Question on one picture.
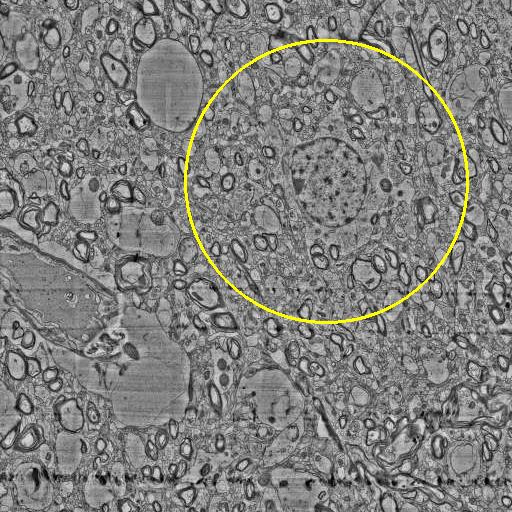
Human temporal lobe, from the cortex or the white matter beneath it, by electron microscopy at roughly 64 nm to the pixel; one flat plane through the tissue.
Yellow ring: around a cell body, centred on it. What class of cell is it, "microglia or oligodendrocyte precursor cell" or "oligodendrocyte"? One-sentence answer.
This is a microglial cell or oligodendrocyte precursor cell, the cell the ring is centred on.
